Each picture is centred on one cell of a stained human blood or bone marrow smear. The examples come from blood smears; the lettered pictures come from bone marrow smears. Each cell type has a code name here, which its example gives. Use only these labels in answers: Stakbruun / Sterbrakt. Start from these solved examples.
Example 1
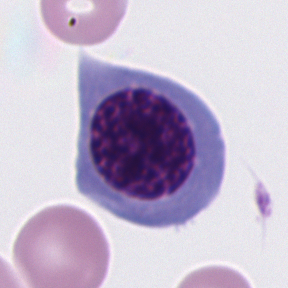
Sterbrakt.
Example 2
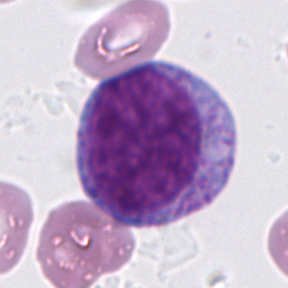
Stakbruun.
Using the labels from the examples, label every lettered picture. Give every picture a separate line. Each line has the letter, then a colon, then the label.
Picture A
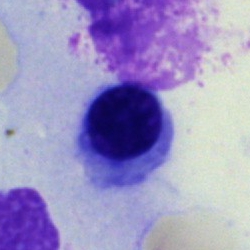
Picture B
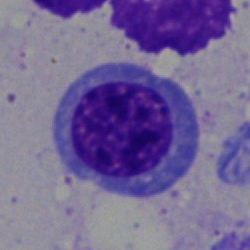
A: Sterbrakt.
B: Sterbrakt.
